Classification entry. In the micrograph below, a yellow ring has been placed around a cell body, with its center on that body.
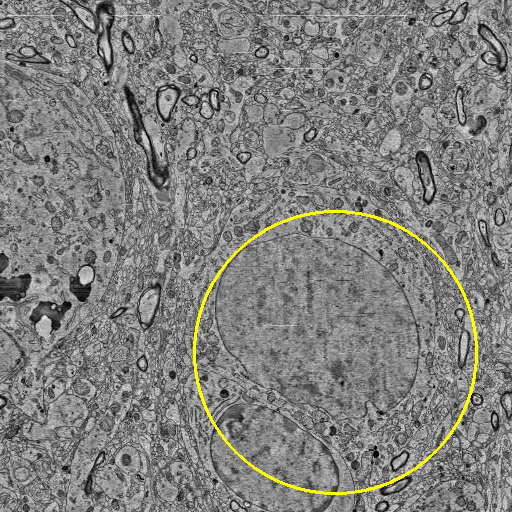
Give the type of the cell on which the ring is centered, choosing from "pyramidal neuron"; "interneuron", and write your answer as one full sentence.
The cell body at the center of the yellow ring belongs to an interneuron.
